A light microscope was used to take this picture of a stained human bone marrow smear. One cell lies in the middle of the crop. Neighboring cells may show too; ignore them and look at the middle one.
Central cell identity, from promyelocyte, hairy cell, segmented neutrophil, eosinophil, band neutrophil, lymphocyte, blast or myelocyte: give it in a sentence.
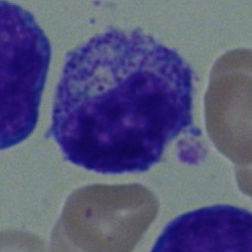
Classification of the middle cell gives a myelocyte.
